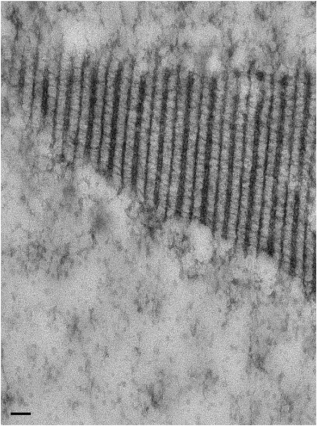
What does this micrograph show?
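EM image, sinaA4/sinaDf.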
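Inside a nucleus lies a large, sharply bounded block that runs diagonally across the field. It is built of many thin dark lines that sit parallel to one another at a very even spacing, with narrow pale gaps between them, like the teeth of a comb. The surrounding nucleoplasm is pale and finely granular, with scattered darker flecks. The edges of the block are fairly straight along the sides where the lines end. This regular, many-times-repeated stack of lines is a polycomplex, an ordered aggregate of the protein lattice that normally forms the synaptonemal complex between paired chromosomes.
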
